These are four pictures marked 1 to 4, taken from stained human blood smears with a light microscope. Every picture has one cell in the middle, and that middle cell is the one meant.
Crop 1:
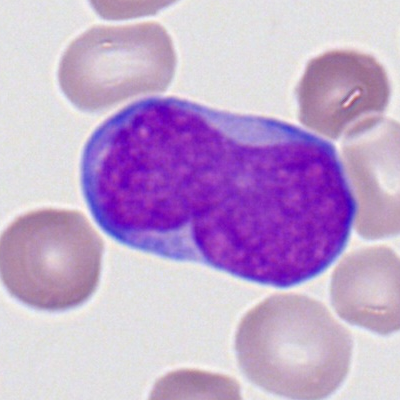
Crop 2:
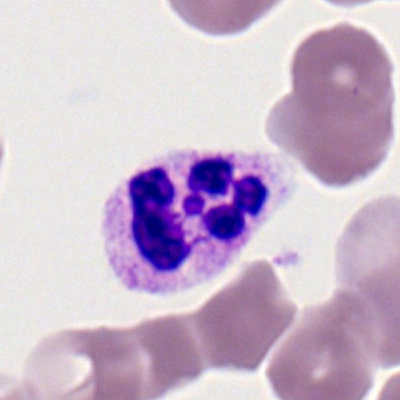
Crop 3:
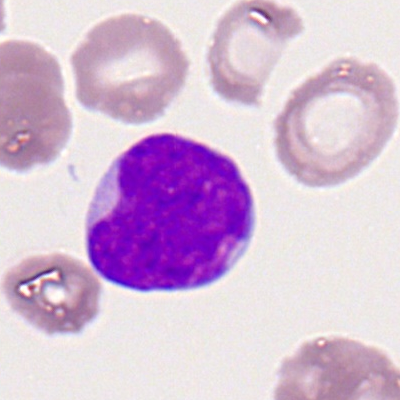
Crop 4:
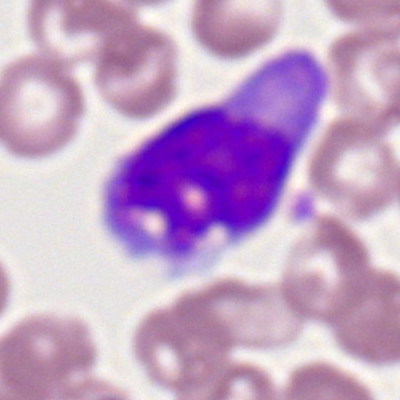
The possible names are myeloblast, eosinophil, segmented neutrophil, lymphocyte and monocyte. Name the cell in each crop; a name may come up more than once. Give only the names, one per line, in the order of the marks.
myeloblast
segmented neutrophil
myeloblast
monocyte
